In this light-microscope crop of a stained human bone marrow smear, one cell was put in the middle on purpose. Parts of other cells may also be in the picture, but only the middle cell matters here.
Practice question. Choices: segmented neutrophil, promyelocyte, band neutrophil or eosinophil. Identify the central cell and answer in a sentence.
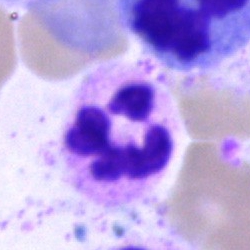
At the center of the crop sits a segmented neutrophil.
